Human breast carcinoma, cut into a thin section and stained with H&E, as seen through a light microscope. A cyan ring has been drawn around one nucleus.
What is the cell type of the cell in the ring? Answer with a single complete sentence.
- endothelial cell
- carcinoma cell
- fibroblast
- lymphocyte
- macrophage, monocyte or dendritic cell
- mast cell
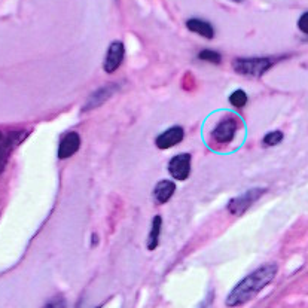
The identity of the cell in the ring: it is a mast cell.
